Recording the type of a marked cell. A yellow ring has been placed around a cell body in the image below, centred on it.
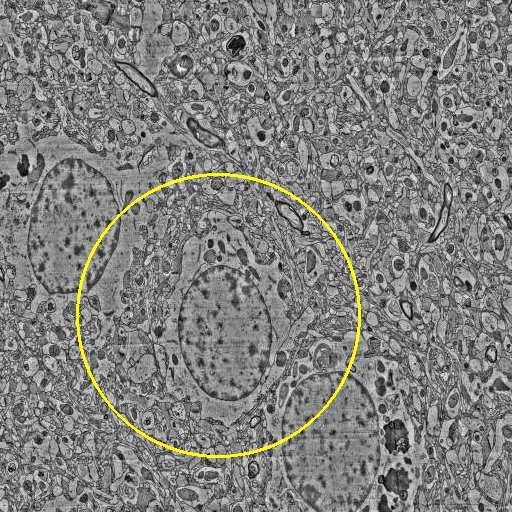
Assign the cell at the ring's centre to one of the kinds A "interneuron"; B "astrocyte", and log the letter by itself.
B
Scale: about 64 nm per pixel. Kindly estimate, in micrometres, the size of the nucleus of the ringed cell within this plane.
About 9 by 6 micrometres in this plane.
